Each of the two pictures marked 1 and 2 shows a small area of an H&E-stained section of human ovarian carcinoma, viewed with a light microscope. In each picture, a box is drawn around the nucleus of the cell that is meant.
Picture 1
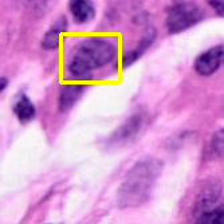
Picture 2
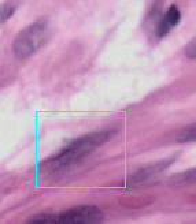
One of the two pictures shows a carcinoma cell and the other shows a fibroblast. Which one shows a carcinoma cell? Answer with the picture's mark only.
1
